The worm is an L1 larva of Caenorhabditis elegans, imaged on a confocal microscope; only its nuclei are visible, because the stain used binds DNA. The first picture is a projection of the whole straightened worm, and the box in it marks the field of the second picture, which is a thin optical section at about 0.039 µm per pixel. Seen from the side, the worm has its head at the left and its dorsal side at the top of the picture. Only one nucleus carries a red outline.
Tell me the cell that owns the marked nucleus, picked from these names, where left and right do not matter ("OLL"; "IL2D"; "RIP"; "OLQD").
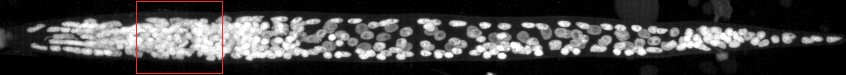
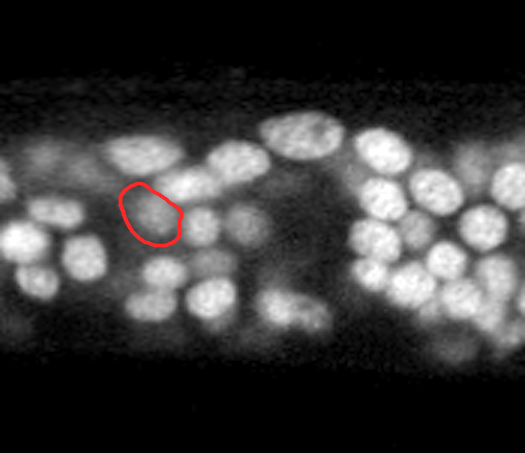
OLL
